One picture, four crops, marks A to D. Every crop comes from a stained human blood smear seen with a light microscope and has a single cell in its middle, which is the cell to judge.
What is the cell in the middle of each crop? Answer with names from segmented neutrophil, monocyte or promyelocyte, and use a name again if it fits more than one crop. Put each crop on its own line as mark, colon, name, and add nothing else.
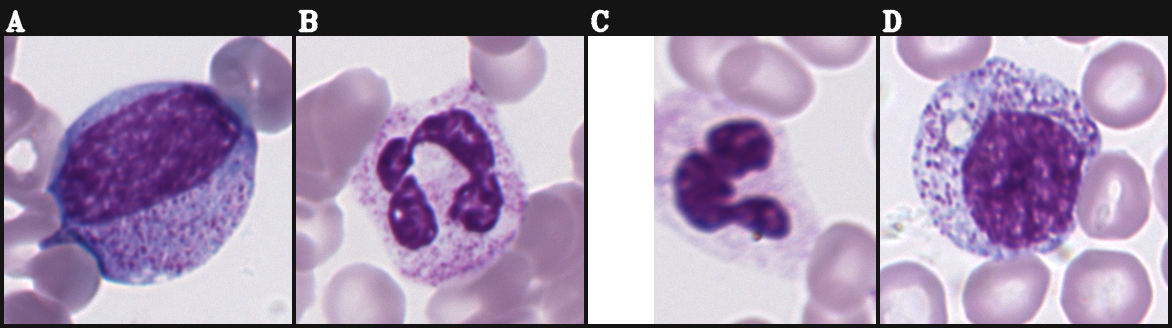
A: promyelocyte
B: segmented neutrophil
C: segmented neutrophil
D: promyelocyte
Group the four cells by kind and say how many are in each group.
promyelocyte: 2
segmented neutrophil: 2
